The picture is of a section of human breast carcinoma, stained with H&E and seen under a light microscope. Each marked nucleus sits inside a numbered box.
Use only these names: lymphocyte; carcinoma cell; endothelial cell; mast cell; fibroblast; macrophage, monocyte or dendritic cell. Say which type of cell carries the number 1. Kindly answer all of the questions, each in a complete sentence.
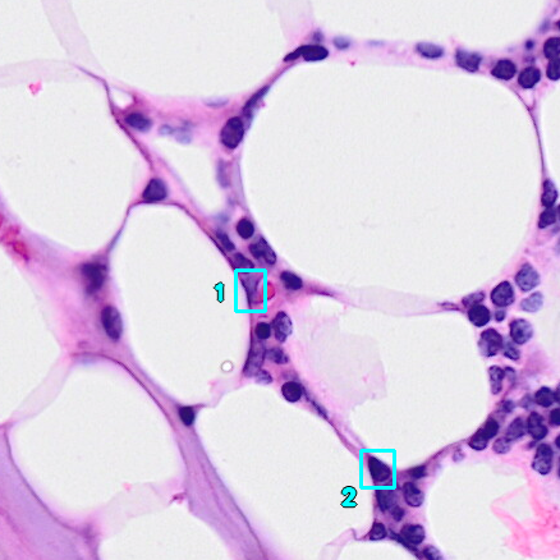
The one numbered 1 among the marked cells is an endothelial cell.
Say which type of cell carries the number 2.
The mark numbered 2 indicates the nucleus of a lymphocyte.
